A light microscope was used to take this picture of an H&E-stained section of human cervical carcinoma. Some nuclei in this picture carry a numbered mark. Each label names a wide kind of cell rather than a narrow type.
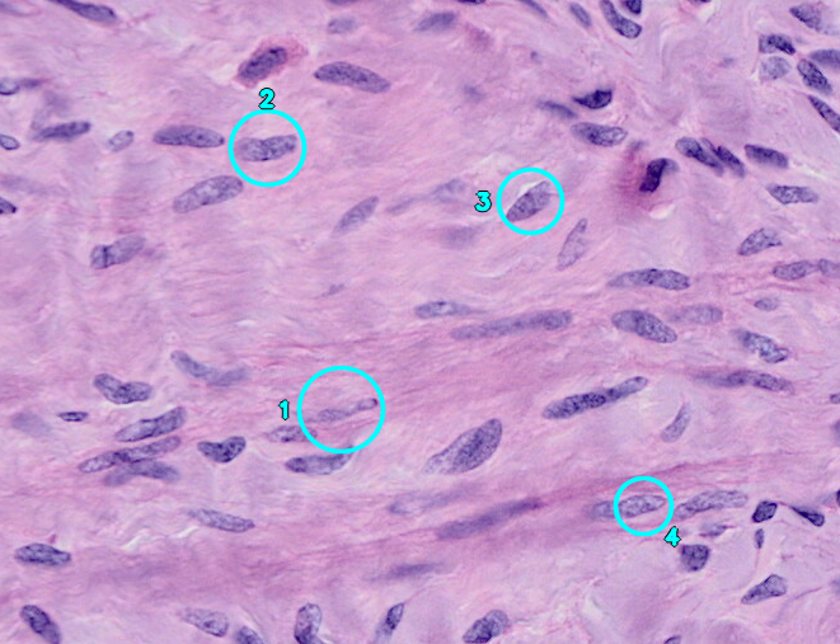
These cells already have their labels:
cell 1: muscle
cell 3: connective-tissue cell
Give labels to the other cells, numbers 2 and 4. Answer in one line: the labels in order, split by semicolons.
connective-tissue cell; muscle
